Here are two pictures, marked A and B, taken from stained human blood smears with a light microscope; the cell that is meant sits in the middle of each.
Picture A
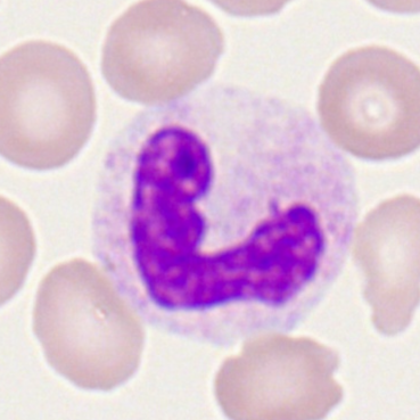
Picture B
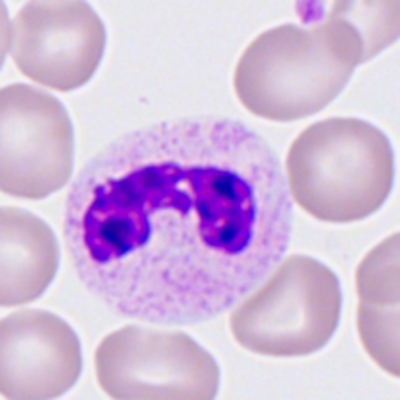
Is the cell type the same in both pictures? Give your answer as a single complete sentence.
Yes, the two pictures both show band neutrophils.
